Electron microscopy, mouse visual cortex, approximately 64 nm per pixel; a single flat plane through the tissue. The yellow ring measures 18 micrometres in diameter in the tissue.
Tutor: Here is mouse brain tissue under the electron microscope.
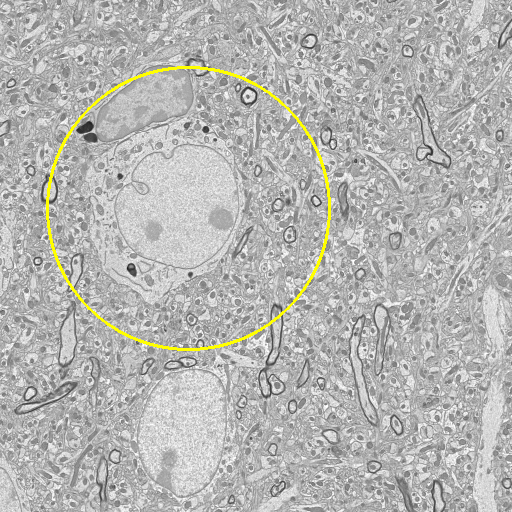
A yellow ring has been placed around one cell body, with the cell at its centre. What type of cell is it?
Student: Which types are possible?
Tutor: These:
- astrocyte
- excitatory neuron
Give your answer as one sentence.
What the ring picks out here is an excitatory neuron.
